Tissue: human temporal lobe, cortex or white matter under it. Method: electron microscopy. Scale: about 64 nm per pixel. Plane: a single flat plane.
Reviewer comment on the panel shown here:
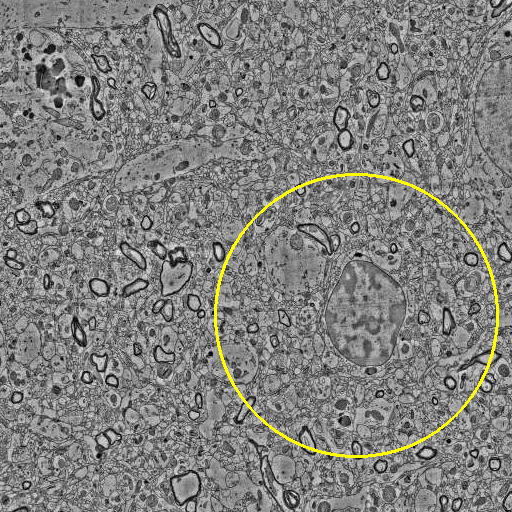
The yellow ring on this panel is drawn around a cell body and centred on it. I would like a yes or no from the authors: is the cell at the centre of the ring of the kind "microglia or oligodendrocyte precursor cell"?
yes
